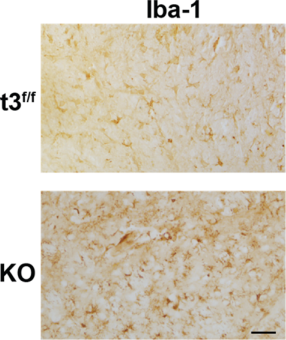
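Two fields of brain tissue show small brown-stained cells scattered through a pale, finely textured background. Each stained cell has a small body from which thin, branching processes extend into the surrounding tissue. In the lower field the brown cells are more crowded and their bodies look darker and plumper than in the upper field.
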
